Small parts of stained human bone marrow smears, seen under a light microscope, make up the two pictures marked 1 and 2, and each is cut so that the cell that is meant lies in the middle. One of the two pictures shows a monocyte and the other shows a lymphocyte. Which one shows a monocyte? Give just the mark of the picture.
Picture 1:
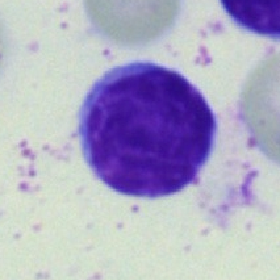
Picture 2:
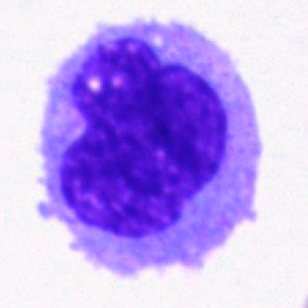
2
